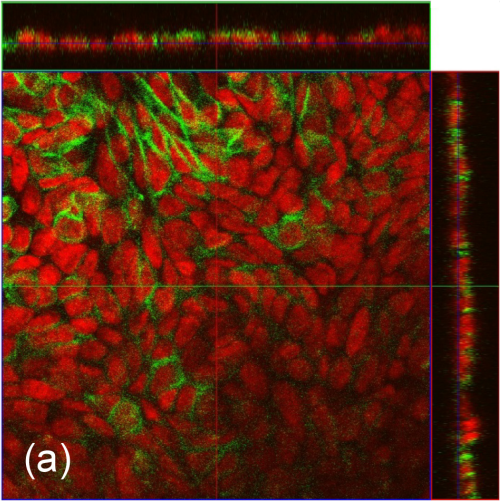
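The nuclei vary somewhat in shape and orientation, some oval and some spindle-like, and lie close together with little space between them. The side strips, showing vertical sections through the stack, reveal a single thin layer of cells with the nuclei in one row.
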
